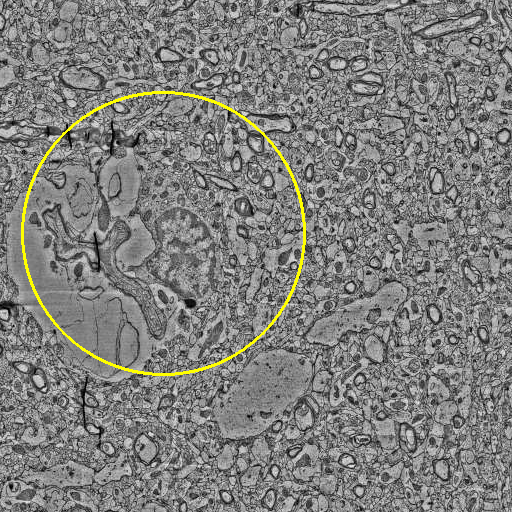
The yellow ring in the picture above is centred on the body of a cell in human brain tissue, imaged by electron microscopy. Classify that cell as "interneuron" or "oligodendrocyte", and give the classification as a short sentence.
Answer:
The cell in the middle of the ring is an oligodendrocyte.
